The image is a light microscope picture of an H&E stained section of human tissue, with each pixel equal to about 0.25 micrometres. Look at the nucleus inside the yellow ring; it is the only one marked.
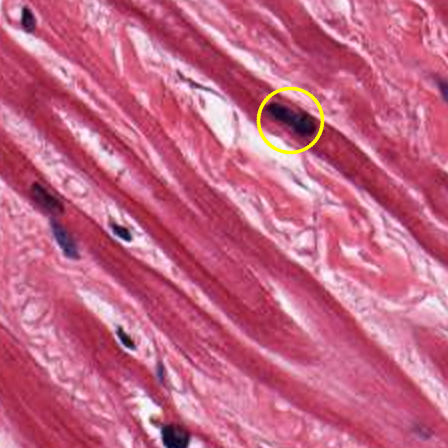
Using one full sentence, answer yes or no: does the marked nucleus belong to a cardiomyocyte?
Yes, the nucleus pointed to by the marking is that of a cardiomyocyte.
